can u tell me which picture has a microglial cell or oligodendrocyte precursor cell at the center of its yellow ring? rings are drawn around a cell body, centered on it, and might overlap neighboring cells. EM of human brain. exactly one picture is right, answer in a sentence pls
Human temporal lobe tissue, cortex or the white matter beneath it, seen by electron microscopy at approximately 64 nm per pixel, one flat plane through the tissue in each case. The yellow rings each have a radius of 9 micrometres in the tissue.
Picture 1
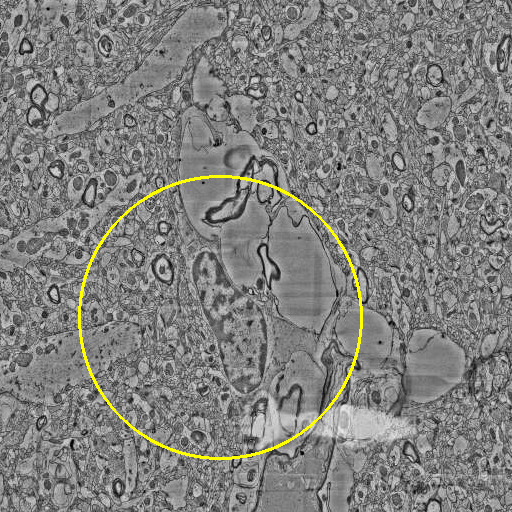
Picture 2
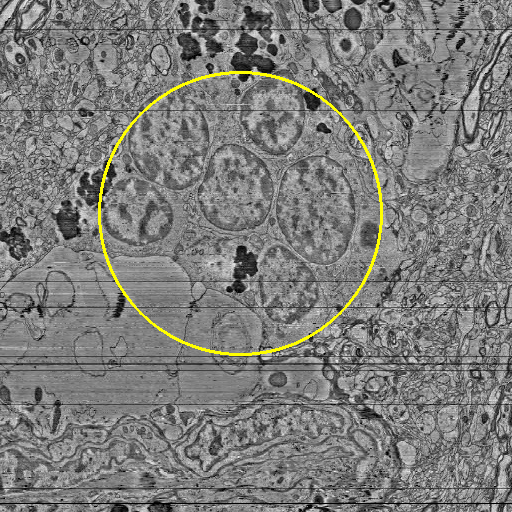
Picture 1 is the one.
